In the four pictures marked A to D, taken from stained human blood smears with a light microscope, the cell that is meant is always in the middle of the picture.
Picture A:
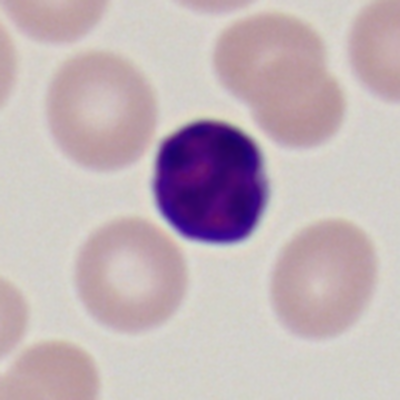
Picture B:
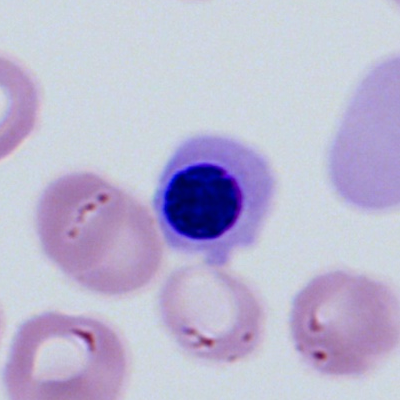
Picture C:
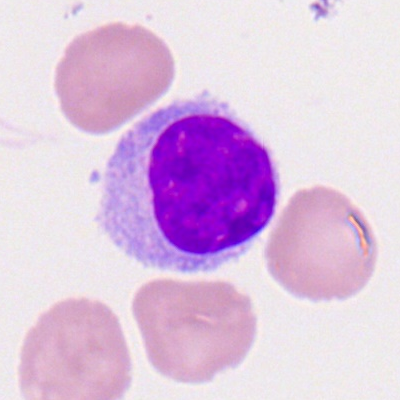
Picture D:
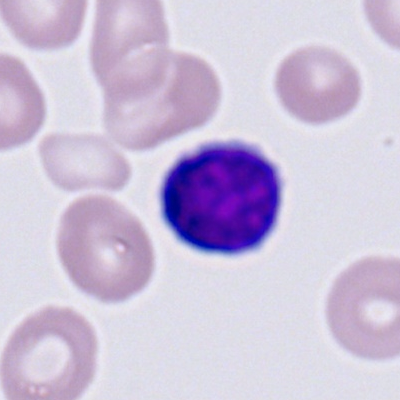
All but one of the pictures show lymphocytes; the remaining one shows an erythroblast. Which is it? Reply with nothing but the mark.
B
